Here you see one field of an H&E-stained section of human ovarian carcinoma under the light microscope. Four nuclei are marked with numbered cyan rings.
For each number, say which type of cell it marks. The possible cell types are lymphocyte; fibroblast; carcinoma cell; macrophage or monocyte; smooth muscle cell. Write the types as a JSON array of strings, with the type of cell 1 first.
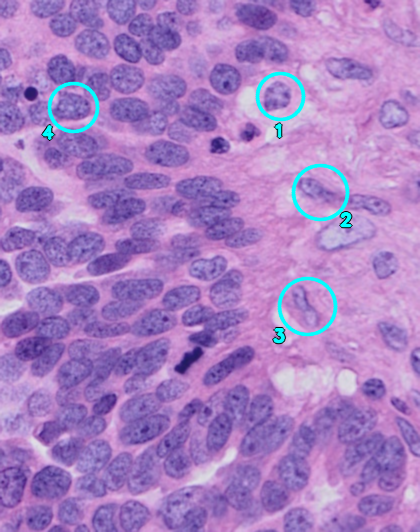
["macrophage or monocyte", "fibroblast", "fibroblast", "carcinoma cell"]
